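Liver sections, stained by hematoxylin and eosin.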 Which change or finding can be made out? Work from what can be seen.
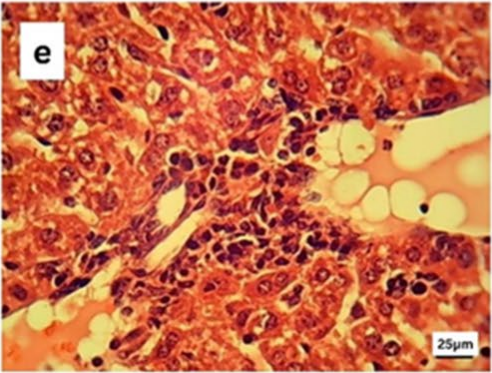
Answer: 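Portal infiltration with mononuclear inflammatory cells. Many small, round, dark-purple nuclei crowd together in the centre of the field. The crowded dark cells lie beside a vessel lumen. Larger liver cells with pale round nuclei surround the crowded area.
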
